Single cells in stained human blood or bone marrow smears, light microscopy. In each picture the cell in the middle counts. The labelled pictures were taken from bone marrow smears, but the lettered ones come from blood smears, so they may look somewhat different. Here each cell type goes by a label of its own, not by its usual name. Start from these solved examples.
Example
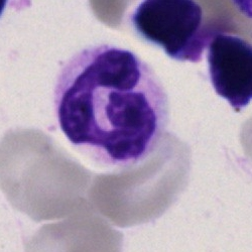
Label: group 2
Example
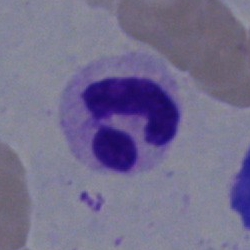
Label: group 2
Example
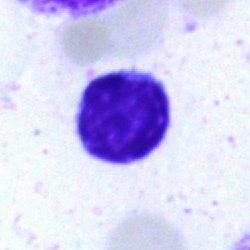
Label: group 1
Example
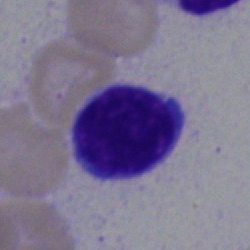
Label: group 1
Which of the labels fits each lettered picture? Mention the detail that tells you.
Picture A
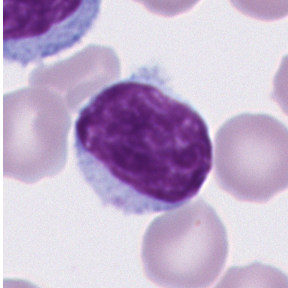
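group 1. The cytoplasm forms a narrow rim that is widest at the lower left of the nucleus.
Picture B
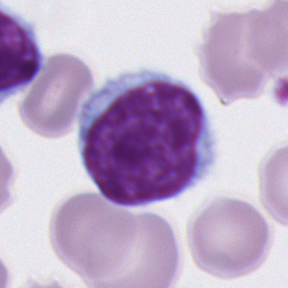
group 1. The cytoplasm forms only a narrow rim around the nucleus.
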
